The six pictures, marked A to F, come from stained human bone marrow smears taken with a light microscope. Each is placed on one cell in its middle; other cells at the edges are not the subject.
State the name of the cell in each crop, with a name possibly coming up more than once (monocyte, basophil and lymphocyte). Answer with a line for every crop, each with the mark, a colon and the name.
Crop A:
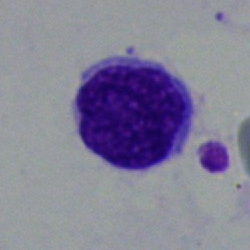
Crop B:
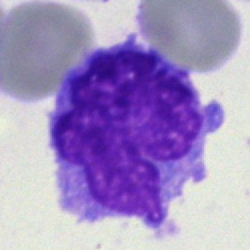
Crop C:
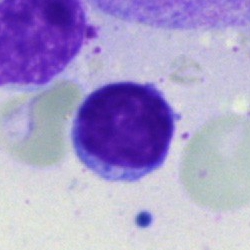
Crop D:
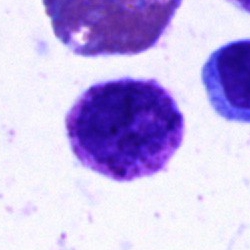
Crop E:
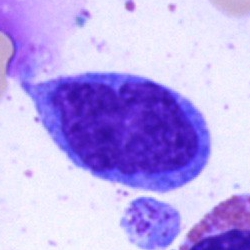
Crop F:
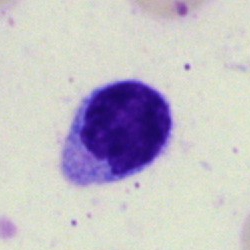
A: lymphocyte
B: monocyte
C: lymphocyte
D: basophil
E: monocyte
F: lymphocyte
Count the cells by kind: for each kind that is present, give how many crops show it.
lymphocyte: 3
monocyte: 2
basophil: 1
